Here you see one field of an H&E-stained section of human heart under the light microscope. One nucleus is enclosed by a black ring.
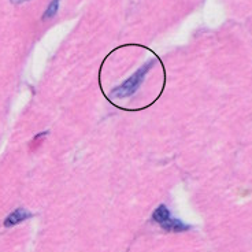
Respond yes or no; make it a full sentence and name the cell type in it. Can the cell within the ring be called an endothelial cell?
Yes, in short, the cell within the ring is an endothelial cell here.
